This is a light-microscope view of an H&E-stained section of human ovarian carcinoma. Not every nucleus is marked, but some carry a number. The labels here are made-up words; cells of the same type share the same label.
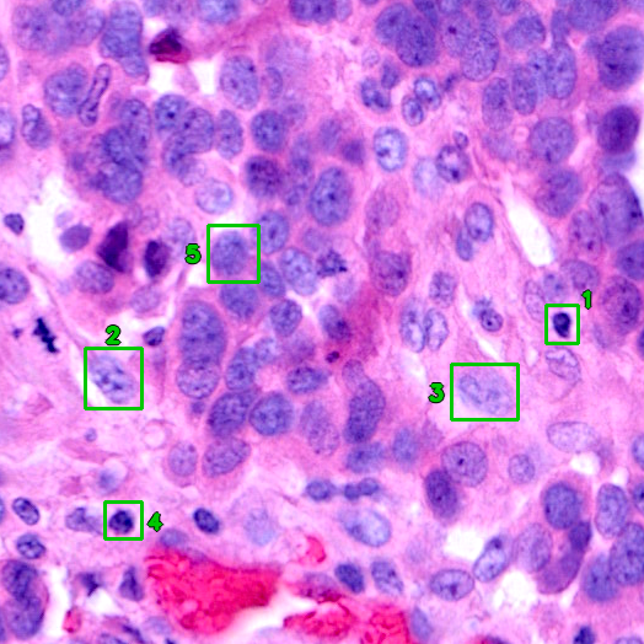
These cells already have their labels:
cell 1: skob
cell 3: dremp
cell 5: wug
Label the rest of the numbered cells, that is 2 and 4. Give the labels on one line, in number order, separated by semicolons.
dremp; skob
